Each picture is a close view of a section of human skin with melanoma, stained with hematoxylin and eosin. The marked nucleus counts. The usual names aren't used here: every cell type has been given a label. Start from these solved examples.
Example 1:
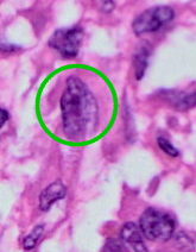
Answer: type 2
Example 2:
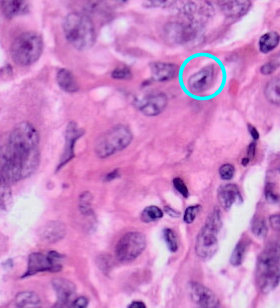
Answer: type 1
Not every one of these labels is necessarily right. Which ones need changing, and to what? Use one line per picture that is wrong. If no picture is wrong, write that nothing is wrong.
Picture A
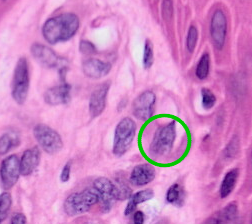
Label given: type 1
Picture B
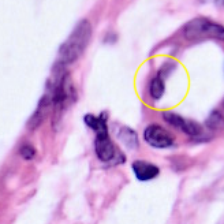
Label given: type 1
All labels are correct.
